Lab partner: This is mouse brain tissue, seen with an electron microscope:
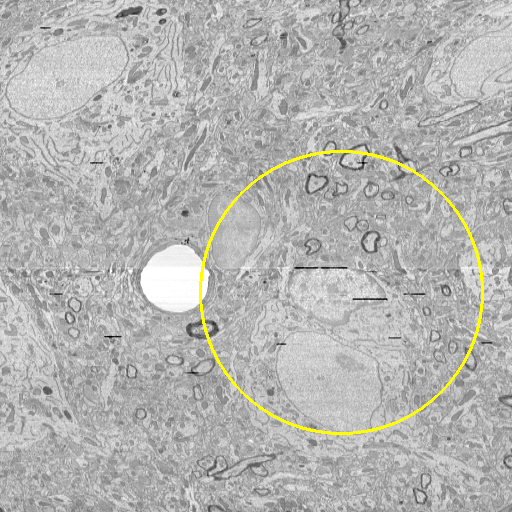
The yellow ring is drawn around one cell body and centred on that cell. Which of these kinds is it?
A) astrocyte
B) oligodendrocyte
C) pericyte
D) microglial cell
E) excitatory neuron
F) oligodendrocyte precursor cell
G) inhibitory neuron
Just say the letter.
B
